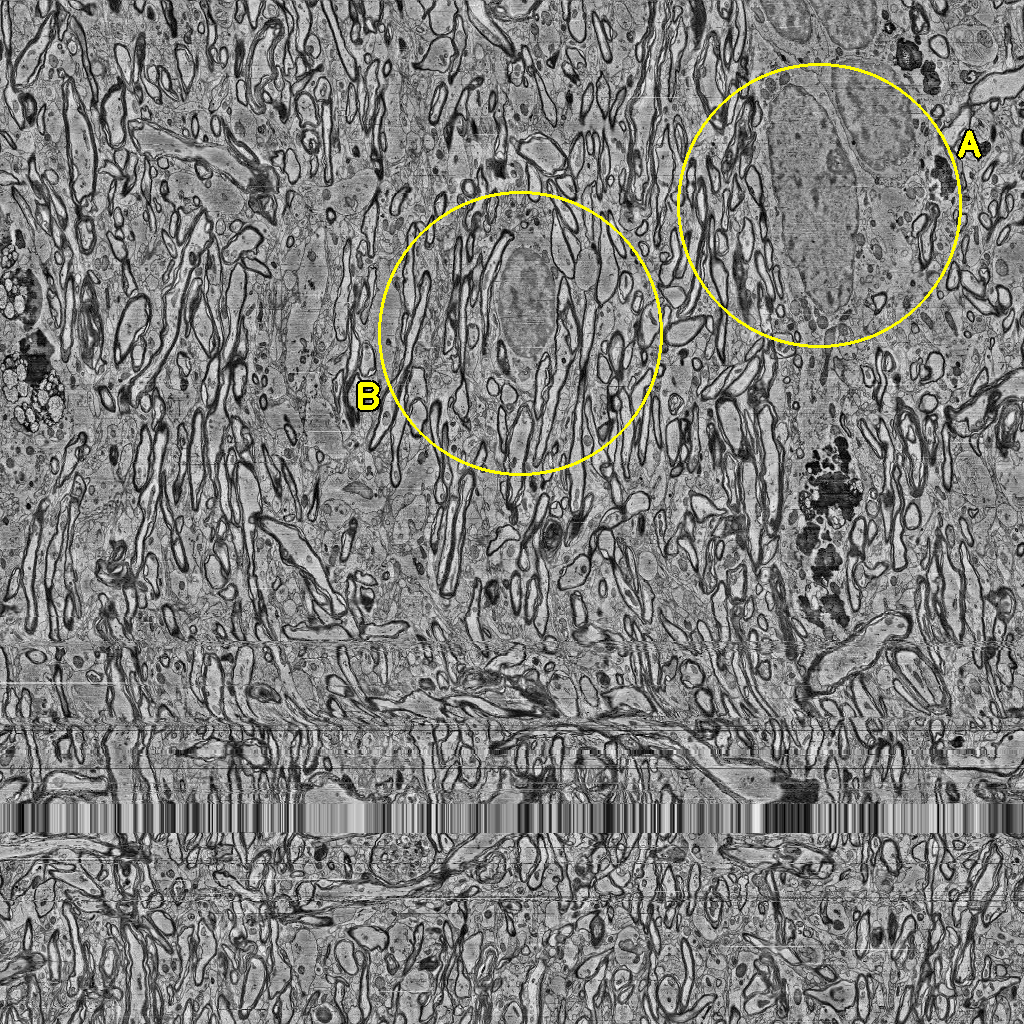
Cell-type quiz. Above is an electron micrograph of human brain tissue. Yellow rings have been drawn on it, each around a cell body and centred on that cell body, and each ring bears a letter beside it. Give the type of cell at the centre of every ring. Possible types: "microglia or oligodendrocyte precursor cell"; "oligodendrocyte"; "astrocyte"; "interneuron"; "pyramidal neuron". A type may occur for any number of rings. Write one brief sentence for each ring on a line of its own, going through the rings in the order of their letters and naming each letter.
Ring A is centred on the cell body of an astrocyte.
Ring B is centred on the cell body of an oligodendrocyte.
